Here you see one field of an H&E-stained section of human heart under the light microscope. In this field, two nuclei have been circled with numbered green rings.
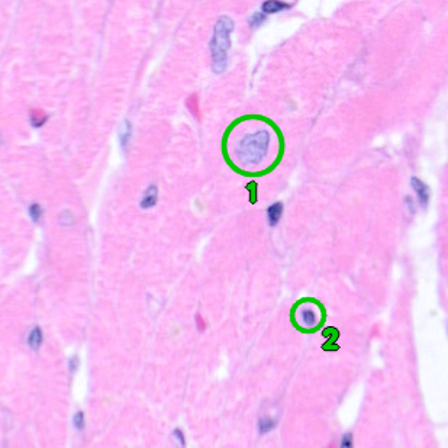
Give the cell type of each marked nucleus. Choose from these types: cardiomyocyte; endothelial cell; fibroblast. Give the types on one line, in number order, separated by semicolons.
cardiomyocyte; endothelial cell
